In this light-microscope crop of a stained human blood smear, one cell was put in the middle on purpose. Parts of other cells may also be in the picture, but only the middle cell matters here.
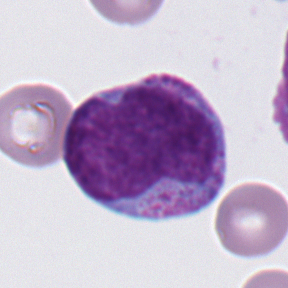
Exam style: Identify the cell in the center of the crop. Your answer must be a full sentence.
The cell found in the middle of this crop is an atypical promyelocyte.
